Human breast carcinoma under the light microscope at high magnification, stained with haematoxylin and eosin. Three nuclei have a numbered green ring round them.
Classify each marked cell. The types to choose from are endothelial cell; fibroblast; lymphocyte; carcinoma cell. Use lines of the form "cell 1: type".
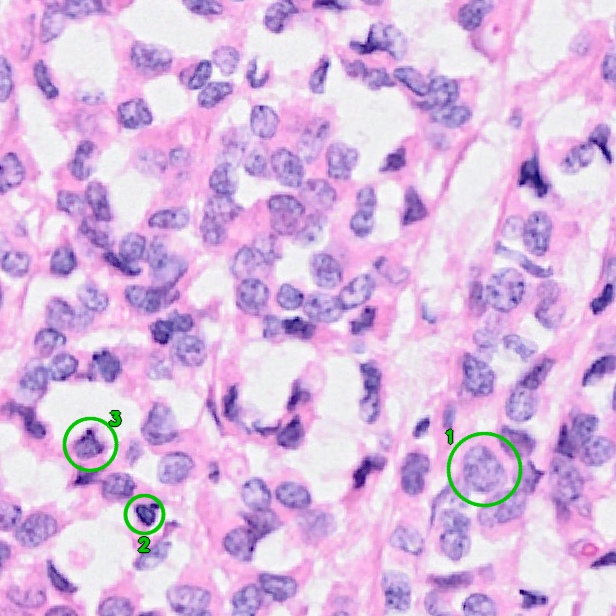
cell 1: carcinoma cell
cell 2: lymphocyte
cell 3: carcinoma cell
